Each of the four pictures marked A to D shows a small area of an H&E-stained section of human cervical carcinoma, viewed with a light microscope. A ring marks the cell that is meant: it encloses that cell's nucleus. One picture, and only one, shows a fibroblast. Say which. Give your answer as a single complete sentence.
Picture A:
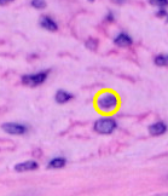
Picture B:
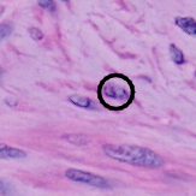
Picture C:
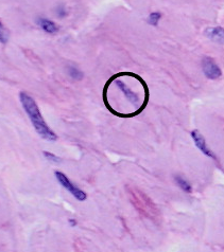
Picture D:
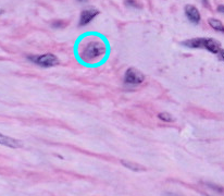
The fibroblast is the one in picture C.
